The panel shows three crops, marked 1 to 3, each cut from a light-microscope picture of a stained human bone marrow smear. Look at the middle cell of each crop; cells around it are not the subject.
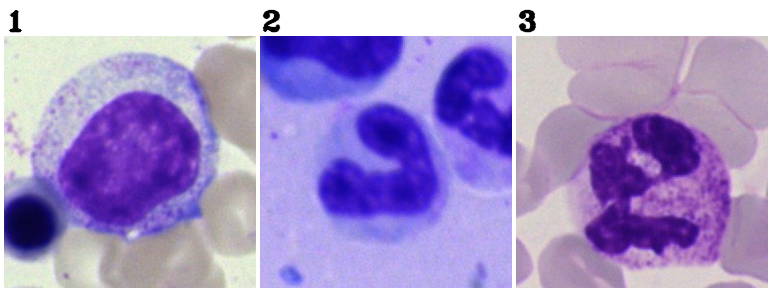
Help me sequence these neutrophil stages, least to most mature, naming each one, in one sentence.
The sequence from earliest to most advanced maturity is crop 1 (a myelocyte), crop 2 (a band neutrophil) and crop 3 (a segmented neutrophil).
